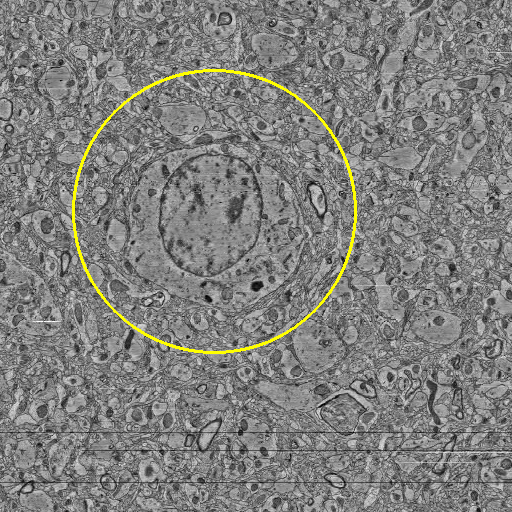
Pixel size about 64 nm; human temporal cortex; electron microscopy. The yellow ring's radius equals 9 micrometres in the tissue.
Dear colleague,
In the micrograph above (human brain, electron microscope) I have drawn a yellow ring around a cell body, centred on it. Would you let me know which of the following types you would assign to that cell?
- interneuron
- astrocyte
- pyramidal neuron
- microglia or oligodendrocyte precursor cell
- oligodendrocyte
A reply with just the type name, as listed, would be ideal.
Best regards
pyramidal neuron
